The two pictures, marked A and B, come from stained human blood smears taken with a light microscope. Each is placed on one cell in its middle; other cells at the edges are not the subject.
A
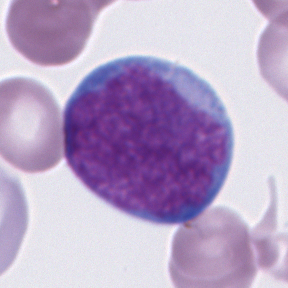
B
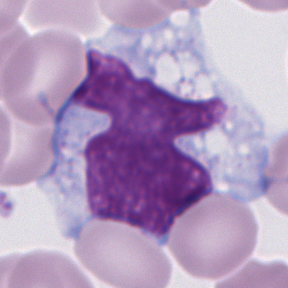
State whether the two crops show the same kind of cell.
no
